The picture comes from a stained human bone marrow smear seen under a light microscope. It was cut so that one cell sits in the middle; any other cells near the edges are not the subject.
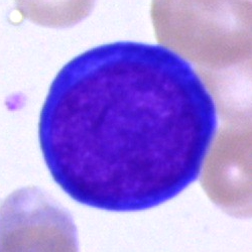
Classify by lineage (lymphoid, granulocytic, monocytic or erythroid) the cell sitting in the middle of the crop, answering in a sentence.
The middle cell is placed in the erythroid lineage.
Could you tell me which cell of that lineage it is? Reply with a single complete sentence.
Positioned in the middle of the crop is a proerythroblast.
